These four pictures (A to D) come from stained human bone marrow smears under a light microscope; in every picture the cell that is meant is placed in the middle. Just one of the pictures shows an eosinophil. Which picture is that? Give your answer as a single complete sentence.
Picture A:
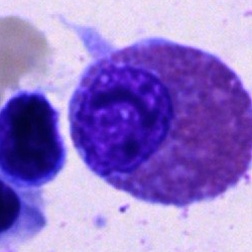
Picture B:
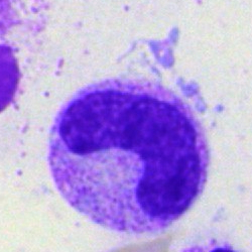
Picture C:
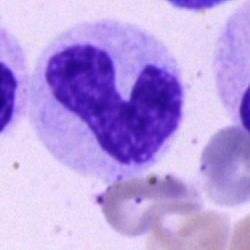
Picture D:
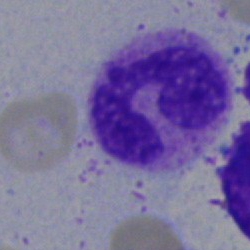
The cell in picture A is the eosinophil.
